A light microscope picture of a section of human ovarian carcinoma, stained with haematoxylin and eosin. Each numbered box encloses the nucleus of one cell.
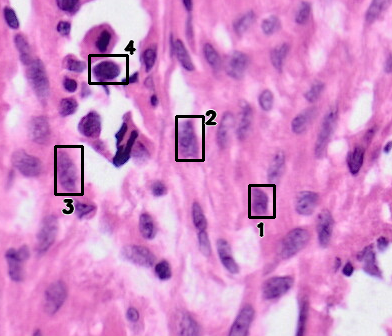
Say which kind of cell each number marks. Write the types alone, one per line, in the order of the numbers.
fibroblast
fibroblast
fibroblast
carcinoma cell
